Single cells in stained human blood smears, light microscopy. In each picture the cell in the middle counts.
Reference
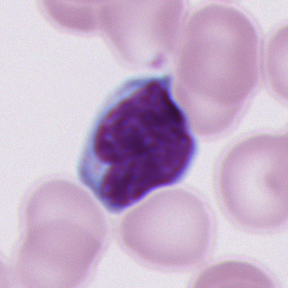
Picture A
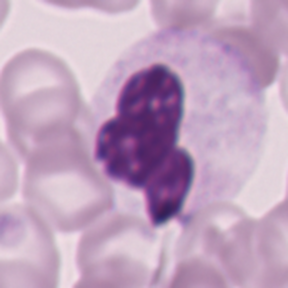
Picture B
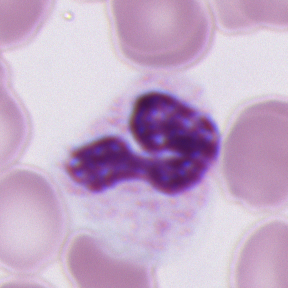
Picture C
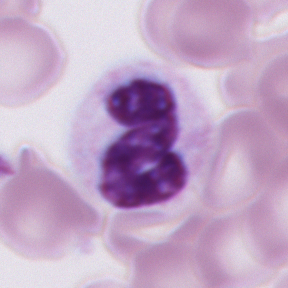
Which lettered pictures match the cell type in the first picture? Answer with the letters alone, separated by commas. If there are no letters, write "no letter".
no letter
